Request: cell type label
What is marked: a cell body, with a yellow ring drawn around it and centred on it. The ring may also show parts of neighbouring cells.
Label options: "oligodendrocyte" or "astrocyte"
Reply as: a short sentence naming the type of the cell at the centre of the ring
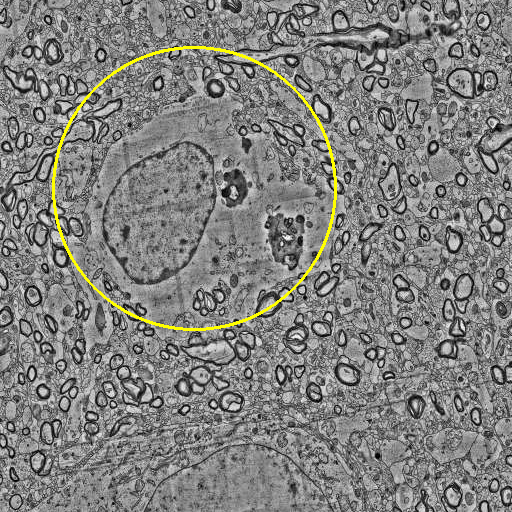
The marked cell body is that of an astrocyte.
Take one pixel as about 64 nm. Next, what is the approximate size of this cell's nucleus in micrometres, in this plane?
The nucleus works out at approximately 9 by 6 micrometres in this plane.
